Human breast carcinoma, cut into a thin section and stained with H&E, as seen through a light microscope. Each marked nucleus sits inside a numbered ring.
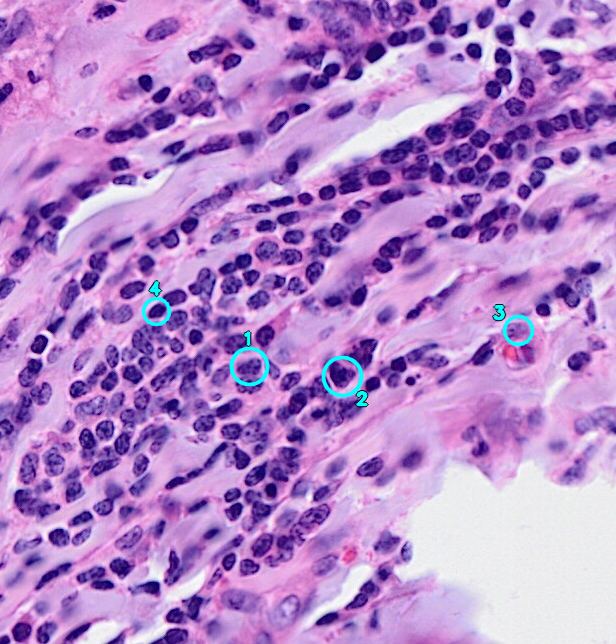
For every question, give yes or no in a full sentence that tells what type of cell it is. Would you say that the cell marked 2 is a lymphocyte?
Yes, the cell that the number 2 labels is a lymphocyte.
